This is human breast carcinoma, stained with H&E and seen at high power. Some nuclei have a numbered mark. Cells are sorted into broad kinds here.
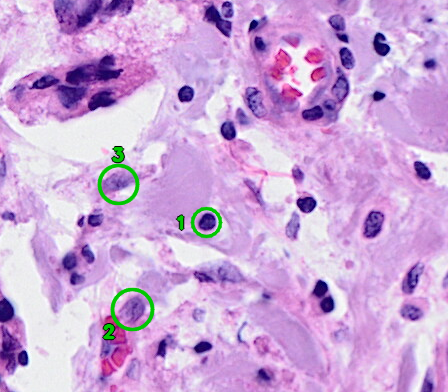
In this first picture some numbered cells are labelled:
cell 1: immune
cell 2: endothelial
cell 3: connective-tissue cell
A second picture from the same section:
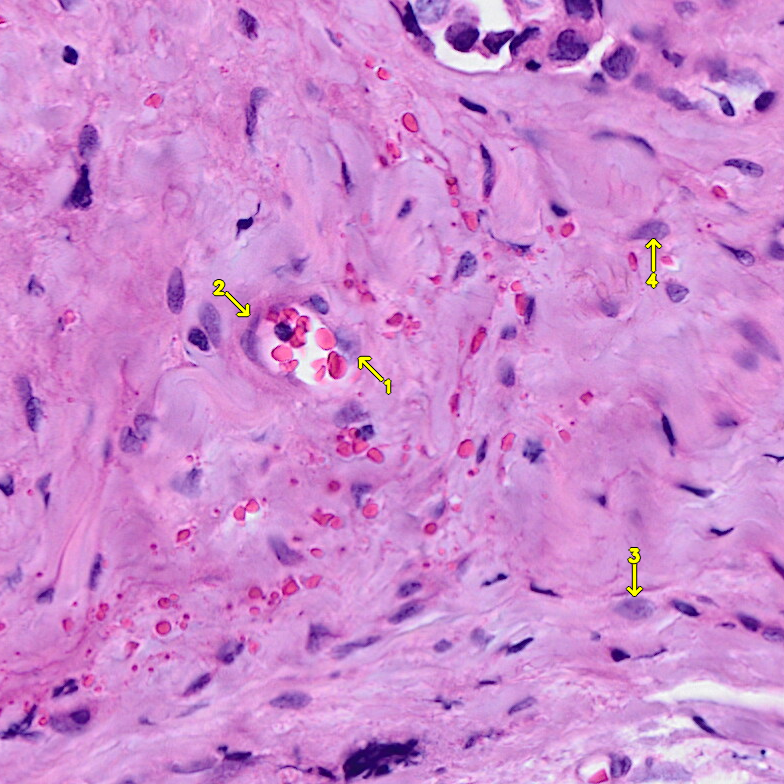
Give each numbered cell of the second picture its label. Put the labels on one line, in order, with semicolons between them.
endothelial; endothelial; connective-tissue cell; connective-tissue cell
